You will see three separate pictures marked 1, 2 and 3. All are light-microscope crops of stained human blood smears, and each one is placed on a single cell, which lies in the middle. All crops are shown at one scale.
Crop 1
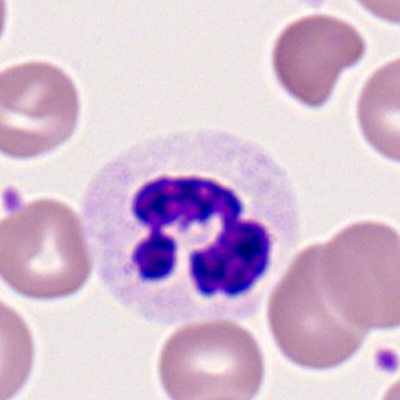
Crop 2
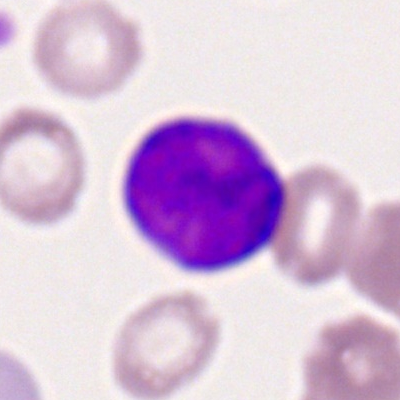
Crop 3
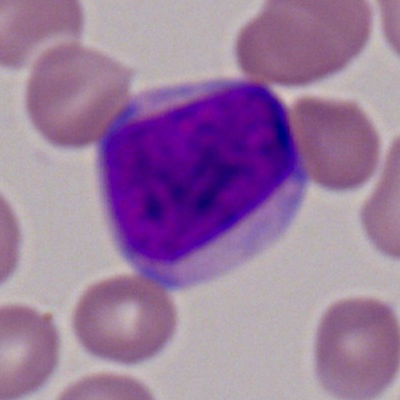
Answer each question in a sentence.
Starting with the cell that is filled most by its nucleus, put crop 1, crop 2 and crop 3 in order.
From the most filled to the least, the order is 2, 3, 1.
